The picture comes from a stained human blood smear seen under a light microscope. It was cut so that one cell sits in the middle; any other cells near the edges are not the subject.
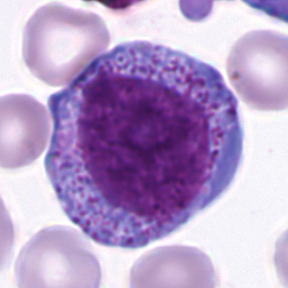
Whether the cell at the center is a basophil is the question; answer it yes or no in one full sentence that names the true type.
No, not a basophil here; the centered cell is a promyelocyte.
